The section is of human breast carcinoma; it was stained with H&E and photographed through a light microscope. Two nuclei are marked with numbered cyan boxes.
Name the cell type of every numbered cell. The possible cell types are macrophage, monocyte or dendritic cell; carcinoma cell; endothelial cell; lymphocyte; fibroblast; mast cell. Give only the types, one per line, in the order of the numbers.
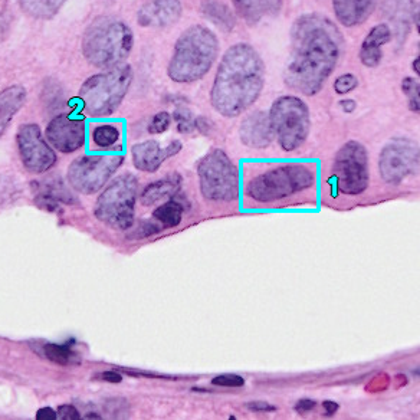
carcinoma cell
lymphocyte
